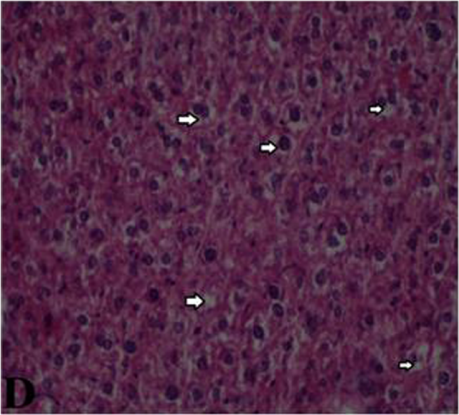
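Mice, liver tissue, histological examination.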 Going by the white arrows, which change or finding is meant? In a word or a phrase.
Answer: Hepatocyte cytoplasm vacuolation.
